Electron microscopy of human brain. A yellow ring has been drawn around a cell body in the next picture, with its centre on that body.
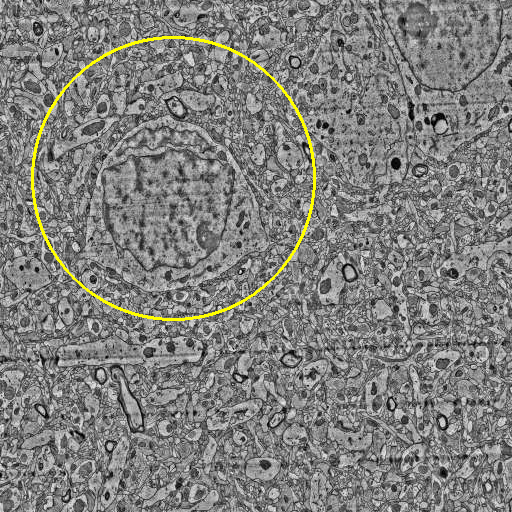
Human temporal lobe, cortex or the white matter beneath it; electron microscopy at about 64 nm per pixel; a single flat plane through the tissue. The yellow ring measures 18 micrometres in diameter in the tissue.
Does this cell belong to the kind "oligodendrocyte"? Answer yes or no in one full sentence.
No, the ringed cell in this picture, sitting at the ring's centre, is of another kind.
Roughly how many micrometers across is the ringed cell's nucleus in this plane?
About 9 micrometers across, in this plane.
